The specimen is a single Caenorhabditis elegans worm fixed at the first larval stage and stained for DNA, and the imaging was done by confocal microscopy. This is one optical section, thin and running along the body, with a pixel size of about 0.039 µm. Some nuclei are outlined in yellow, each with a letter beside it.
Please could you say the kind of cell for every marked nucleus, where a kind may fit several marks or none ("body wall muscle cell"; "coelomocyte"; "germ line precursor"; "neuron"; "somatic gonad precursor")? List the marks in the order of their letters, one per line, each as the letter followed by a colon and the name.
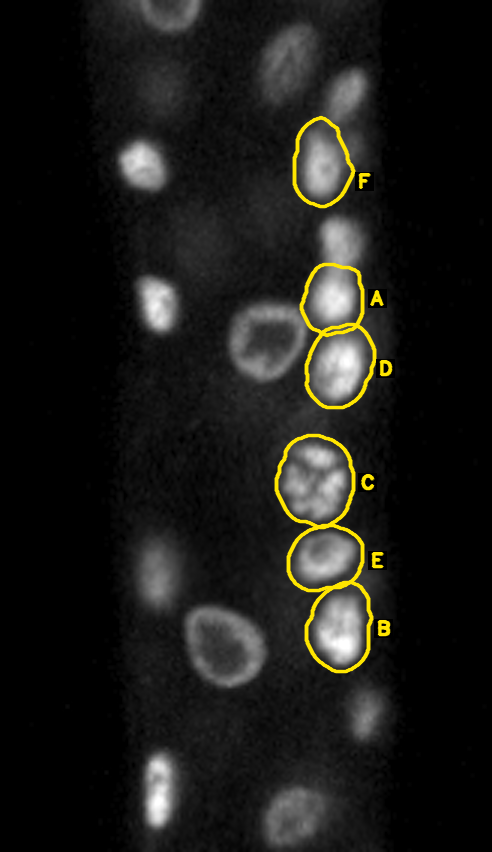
A: coelomocyte
B: body wall muscle cell
C: germ line precursor
D: body wall muscle cell
E: somatic gonad precursor
F: body wall muscle cell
